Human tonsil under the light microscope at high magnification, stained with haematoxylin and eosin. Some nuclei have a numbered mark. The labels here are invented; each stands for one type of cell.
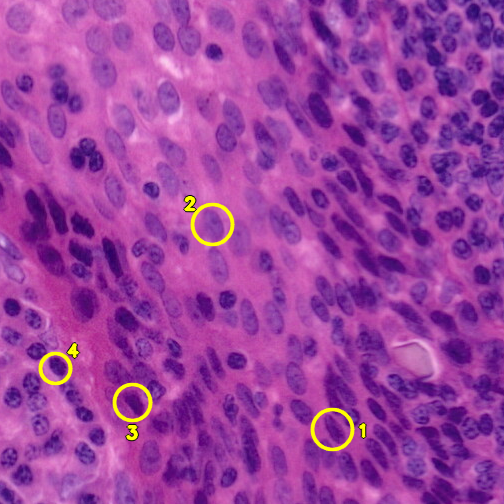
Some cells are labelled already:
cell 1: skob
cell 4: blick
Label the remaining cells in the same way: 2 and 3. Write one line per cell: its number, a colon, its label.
2: skob
3: skob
